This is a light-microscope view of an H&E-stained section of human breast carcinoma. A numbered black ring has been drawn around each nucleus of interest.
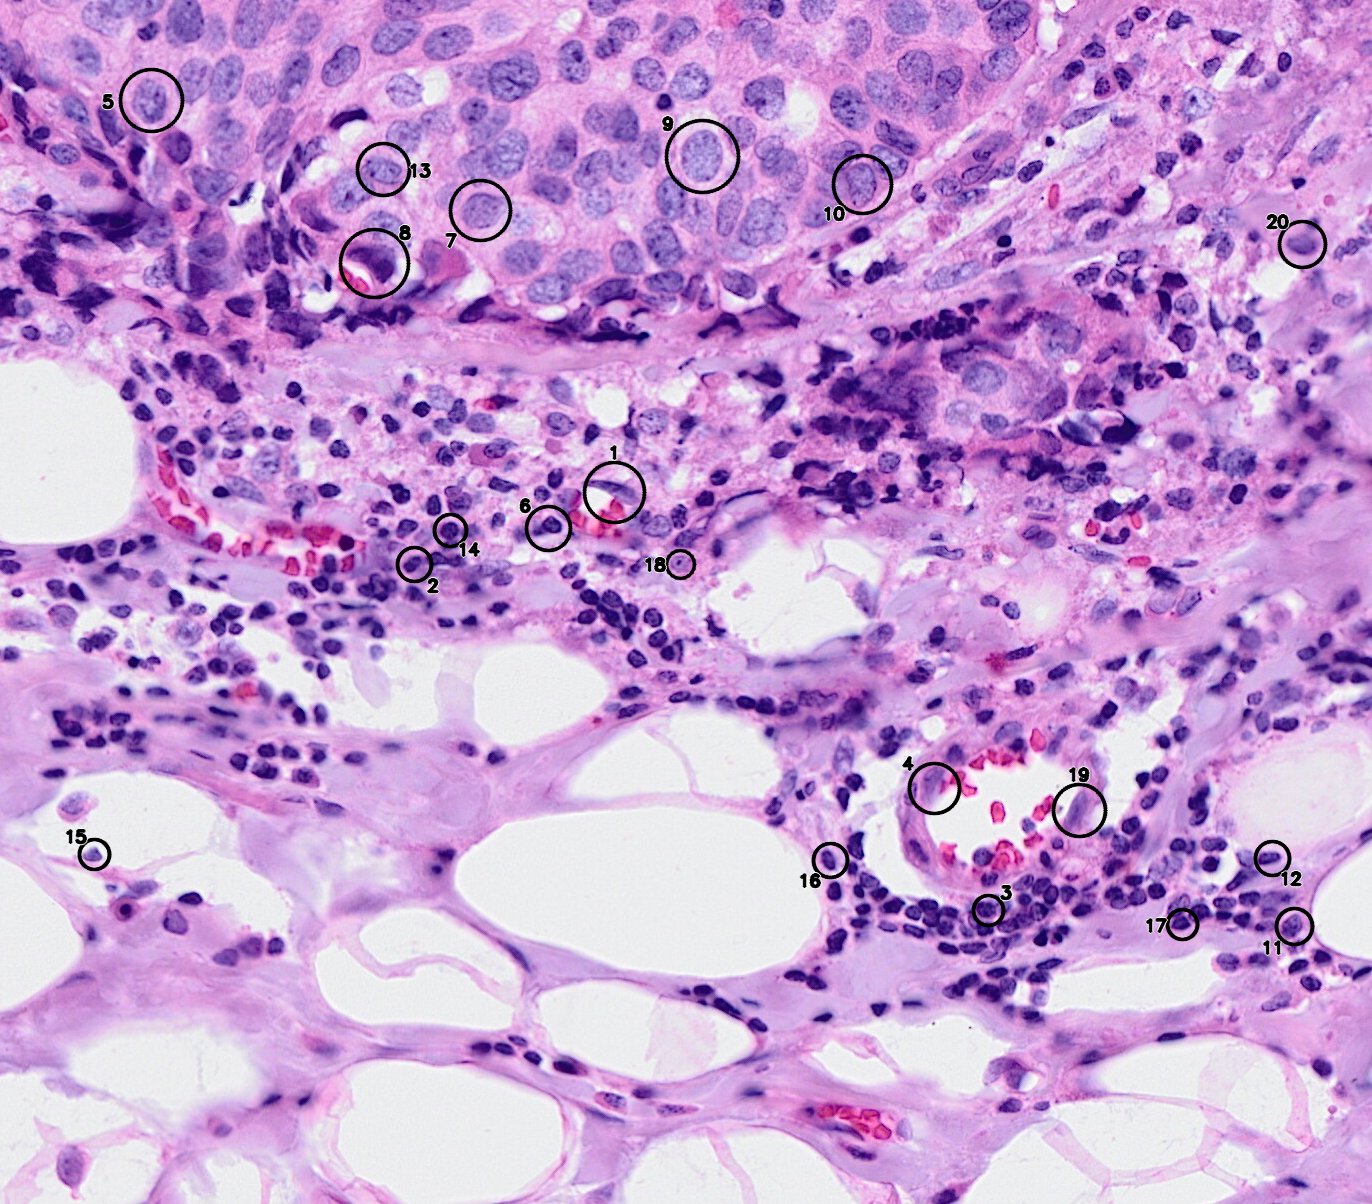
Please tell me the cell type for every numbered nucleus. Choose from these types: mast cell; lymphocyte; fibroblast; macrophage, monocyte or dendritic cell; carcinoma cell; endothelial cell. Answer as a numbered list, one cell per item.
1. endothelial cell
2. lymphocyte
3. lymphocyte
4. endothelial cell
5. carcinoma cell
6. lymphocyte
7. carcinoma cell
8. carcinoma cell
9. carcinoma cell
10. carcinoma cell
11. lymphocyte
12. lymphocyte
13. carcinoma cell
14. lymphocyte
15. lymphocyte
16. lymphocyte
17. lymphocyte
18. mast cell
19. endothelial cell
20. macrophage, monocyte or dendritic cell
